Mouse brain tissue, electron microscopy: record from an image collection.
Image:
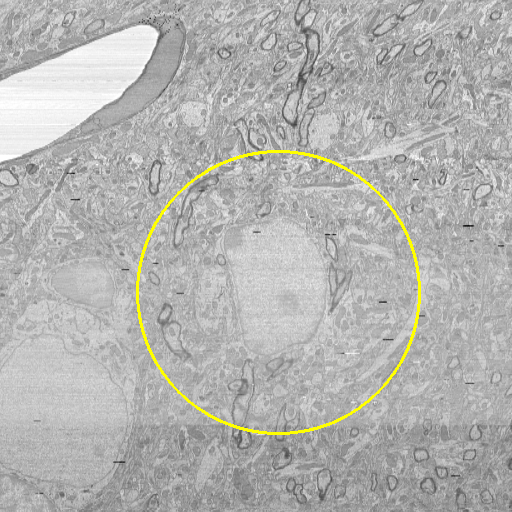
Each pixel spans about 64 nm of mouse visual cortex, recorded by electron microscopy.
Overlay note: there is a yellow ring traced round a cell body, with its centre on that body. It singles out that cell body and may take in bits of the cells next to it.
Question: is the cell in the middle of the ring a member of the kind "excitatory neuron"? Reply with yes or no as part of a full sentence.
No, the image's ringed cell, the one at the ring's centre, is a member of another kind.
